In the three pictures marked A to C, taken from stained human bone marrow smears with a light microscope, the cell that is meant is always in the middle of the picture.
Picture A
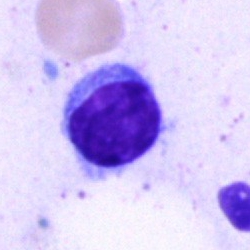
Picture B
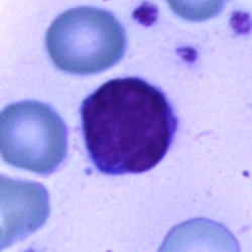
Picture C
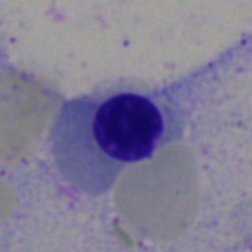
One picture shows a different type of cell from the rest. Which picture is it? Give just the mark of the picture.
C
